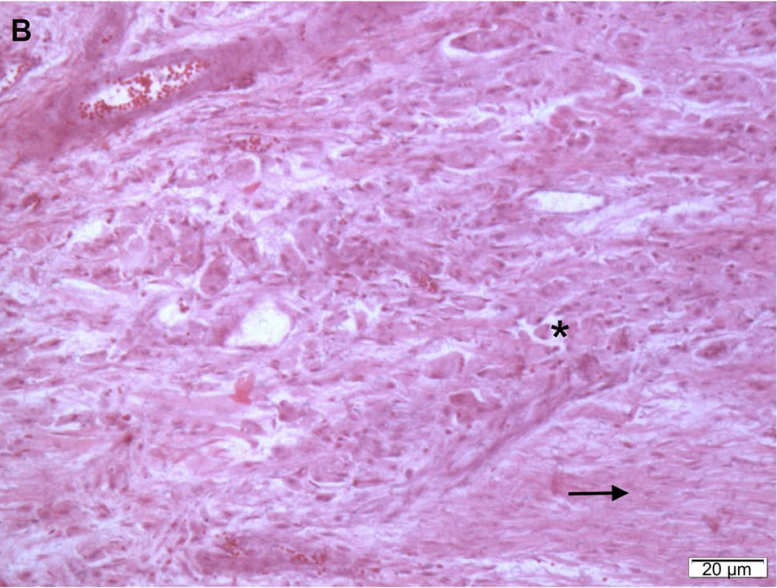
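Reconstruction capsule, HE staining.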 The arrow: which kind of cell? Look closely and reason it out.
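The arrow points into pale pink fibrillar matrix running in parallel bundles. Elongated spindle-shaped cells lie along the fibres. The answer: fibroblasts and collagen fibres.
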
